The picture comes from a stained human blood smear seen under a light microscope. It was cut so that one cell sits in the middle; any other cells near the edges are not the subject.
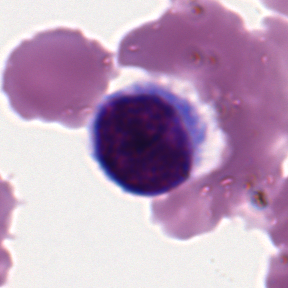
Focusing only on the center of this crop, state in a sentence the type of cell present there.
Regarding the central cell, it is a hairy cell.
